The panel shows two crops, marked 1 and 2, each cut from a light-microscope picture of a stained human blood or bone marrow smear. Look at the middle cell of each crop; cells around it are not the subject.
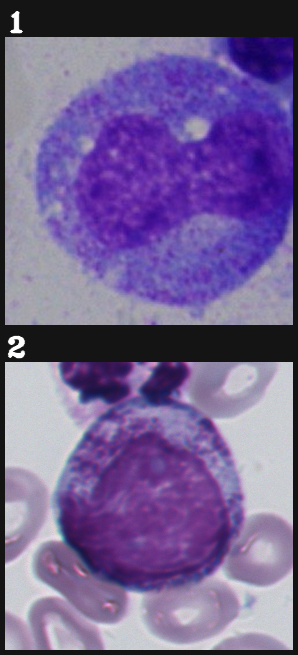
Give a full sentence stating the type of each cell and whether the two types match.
Yes, put down promyelocytes for both crops.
